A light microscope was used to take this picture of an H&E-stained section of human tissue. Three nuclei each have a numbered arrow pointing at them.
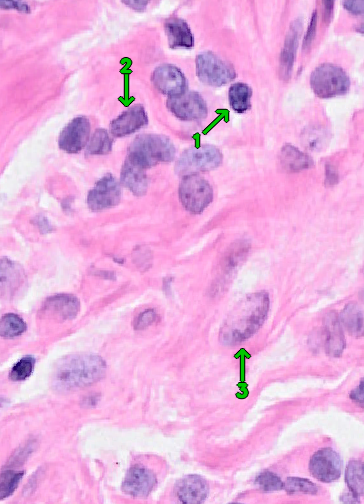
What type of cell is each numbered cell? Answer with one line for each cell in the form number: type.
1: lymphocyte
2: carcinoma cell
3: fibroblast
